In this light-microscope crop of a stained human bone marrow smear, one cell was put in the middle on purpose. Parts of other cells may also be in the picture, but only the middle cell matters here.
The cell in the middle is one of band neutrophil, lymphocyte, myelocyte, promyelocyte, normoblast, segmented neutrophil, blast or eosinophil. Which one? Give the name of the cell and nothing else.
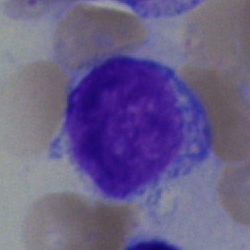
blast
